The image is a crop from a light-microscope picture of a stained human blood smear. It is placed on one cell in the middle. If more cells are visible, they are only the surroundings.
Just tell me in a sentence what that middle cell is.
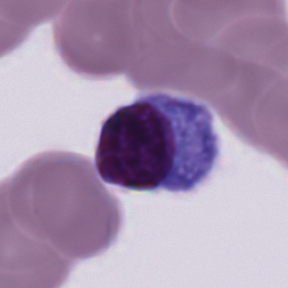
This particular crop is centered on a plasma cell.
